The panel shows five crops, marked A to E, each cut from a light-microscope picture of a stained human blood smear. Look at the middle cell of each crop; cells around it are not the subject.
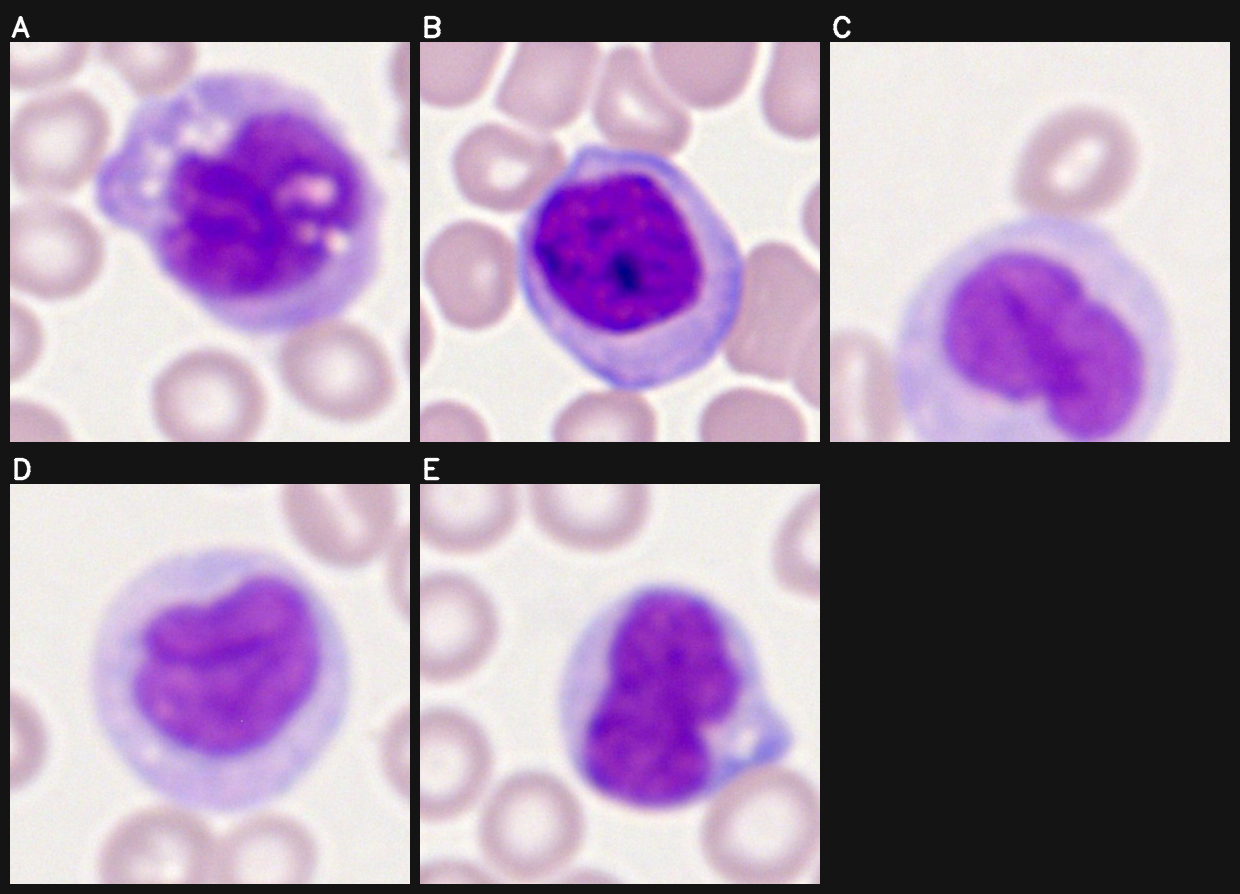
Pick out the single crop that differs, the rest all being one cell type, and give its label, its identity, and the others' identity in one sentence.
The different one is crop B, which is a blast; the rest all show monocytes.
